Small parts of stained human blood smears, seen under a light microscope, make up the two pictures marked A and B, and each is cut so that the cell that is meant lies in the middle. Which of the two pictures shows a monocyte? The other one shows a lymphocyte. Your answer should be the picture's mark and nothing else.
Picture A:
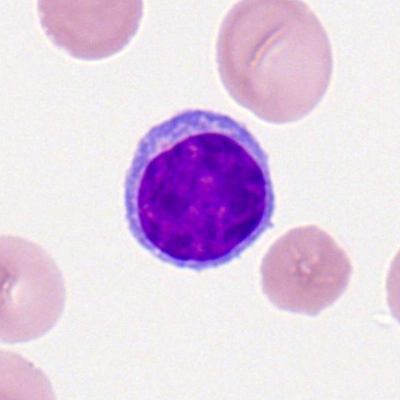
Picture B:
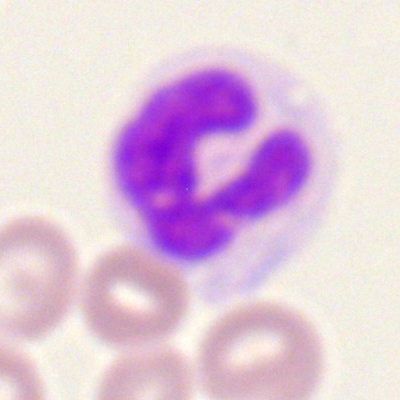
B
